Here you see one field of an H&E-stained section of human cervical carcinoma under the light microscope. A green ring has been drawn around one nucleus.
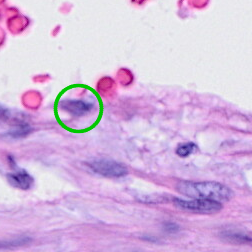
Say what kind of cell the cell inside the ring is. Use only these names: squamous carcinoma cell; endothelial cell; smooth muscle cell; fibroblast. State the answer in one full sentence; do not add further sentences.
Histopathologically, the cell inside the ring is an endothelial cell.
